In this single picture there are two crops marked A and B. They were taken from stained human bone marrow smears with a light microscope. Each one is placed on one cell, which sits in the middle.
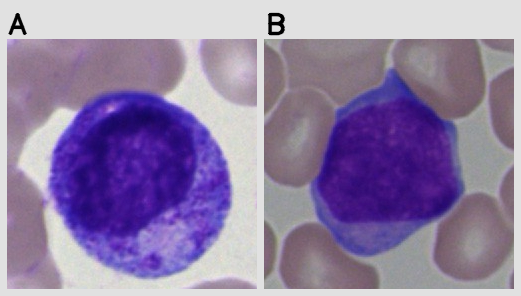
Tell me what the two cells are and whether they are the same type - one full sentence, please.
No, a promyelocyte is what occupies crop A, and a blast is what occupies crop B.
